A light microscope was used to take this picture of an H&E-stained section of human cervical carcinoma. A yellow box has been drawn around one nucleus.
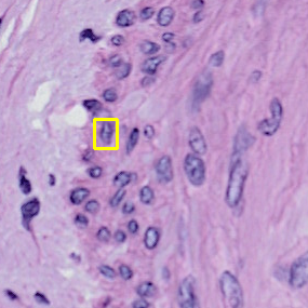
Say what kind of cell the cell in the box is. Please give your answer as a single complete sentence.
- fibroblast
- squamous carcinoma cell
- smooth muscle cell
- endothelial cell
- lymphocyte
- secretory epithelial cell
In terms of identity, the cell in the box is a smooth muscle cell.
